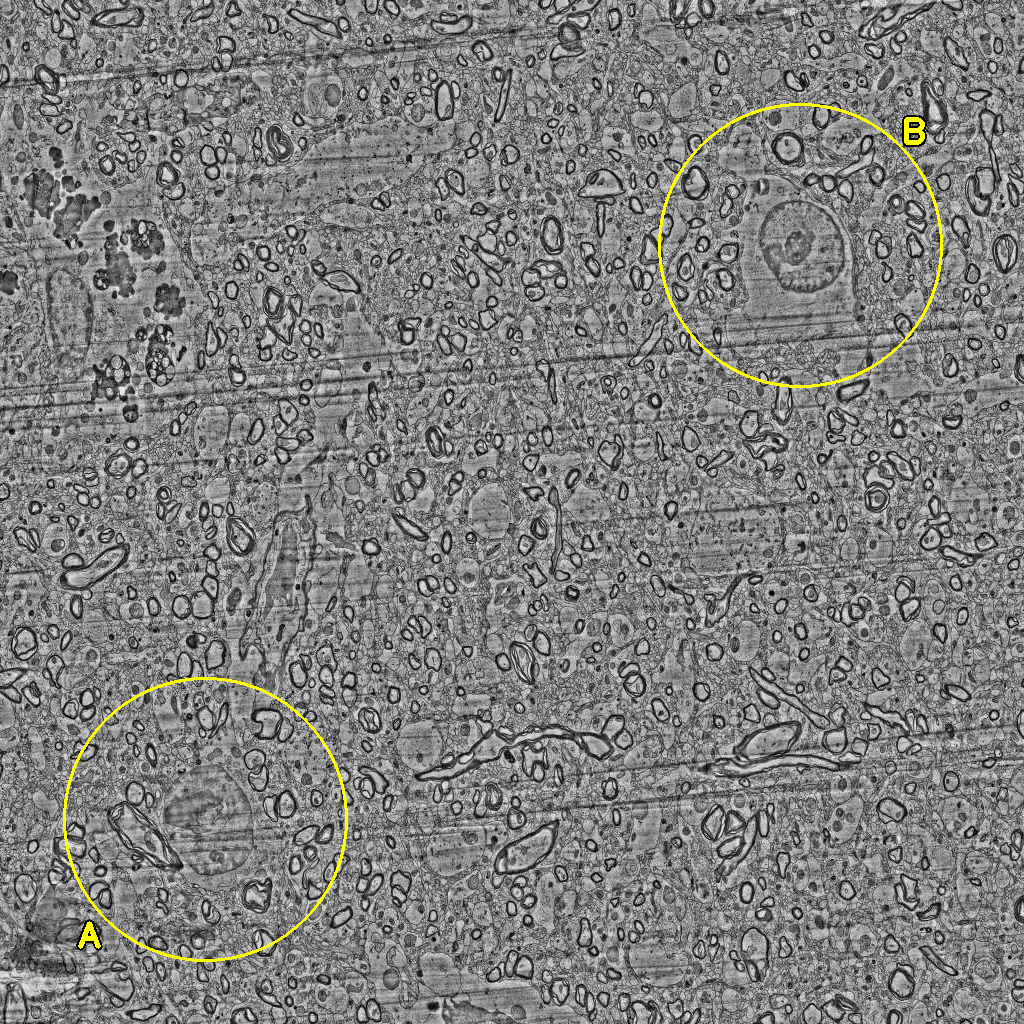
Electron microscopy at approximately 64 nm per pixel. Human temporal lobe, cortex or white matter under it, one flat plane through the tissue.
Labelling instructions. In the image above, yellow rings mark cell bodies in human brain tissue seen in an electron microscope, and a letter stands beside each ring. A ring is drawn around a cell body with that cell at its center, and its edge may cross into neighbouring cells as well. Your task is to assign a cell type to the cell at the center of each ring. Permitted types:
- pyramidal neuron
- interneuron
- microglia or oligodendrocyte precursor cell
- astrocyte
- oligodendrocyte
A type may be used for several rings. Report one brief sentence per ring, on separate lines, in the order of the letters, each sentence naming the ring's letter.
The cell at the center of ring A is an oligodendrocyte.
The cell at the center of ring B is an astrocyte.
